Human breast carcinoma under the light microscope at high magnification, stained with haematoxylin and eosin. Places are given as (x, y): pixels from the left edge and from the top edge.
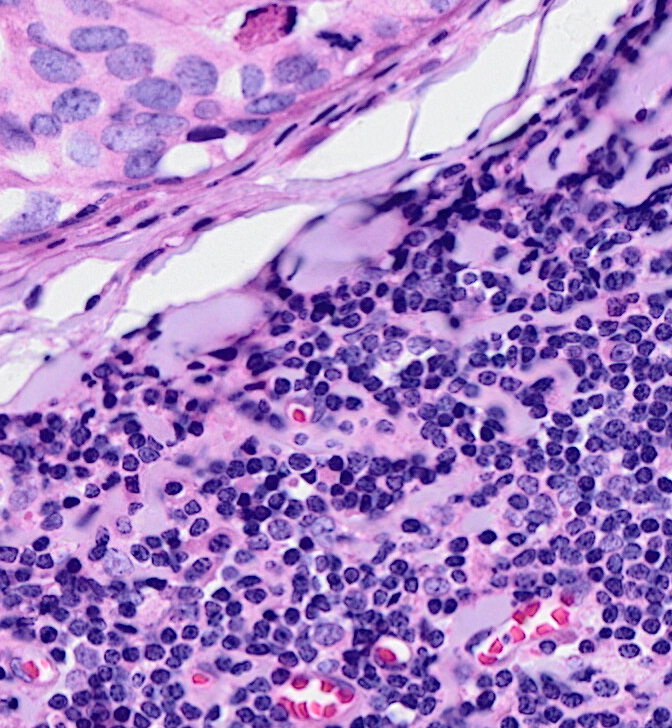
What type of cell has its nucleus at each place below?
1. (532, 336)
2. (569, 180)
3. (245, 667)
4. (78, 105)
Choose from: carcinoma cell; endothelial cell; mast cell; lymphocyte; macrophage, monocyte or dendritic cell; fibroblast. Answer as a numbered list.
1. lymphocyte
2. lymphocyte
3. lymphocyte
4. carcinoma cell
